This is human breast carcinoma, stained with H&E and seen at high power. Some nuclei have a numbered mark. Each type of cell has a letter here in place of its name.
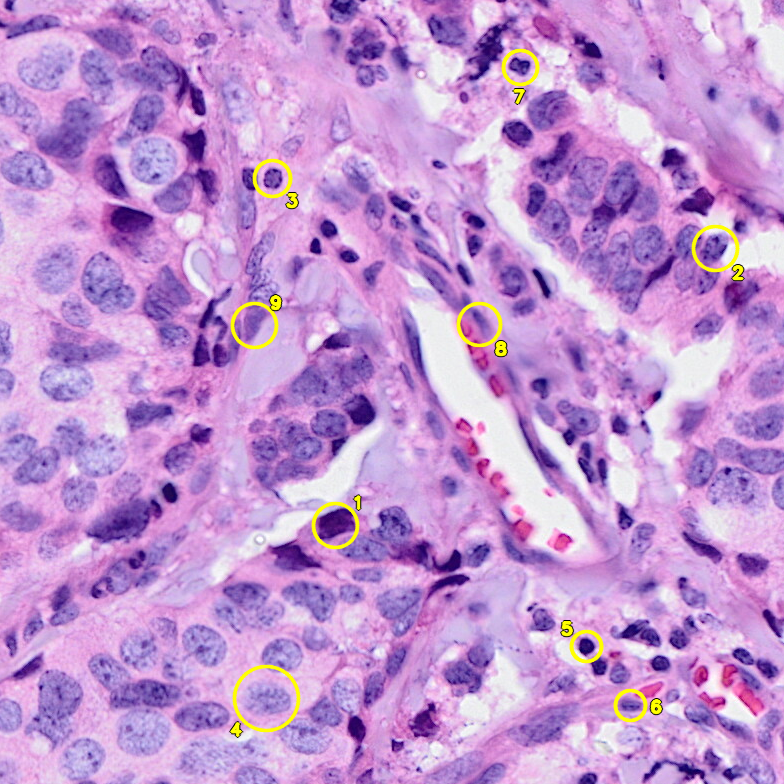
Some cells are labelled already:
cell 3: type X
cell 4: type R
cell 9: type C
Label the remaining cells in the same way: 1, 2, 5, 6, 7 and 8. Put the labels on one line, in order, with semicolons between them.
type R; type R; type X; type C; type X; type C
